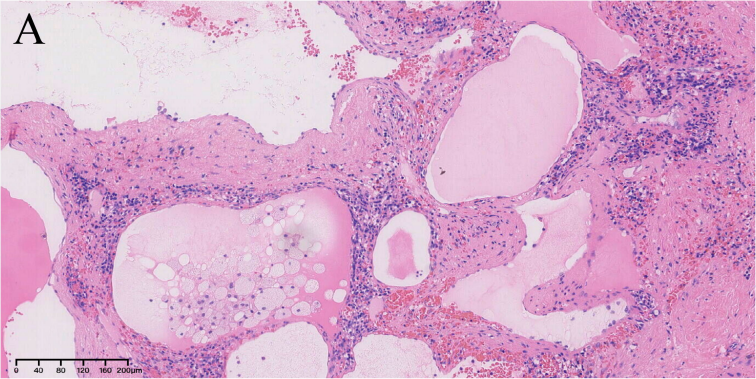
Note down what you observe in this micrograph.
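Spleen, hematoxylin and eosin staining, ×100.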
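Many cavities contain homogeneous pink fluid; some hold scattered red blood cells, and one contains clustered pale vacuoles within the pink material. Red blood cells also lie in groups in the tissue between the spaces and along the upper edge. The septa consist of pink fibrous tissue with scattered small dark blue nuclei, denser in places where small round cells gather. The cavities are lined by a thin layer without any thick cellular wall.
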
